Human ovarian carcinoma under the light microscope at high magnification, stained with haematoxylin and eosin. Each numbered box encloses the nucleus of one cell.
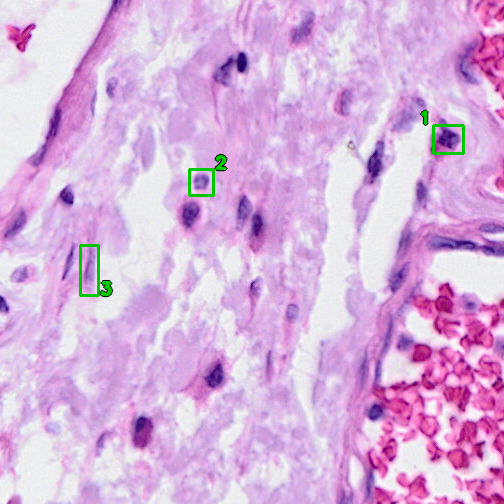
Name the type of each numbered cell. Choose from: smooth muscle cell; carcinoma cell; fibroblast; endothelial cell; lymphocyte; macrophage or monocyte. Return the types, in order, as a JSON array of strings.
["lymphocyte", "lymphocyte", "fibroblast"]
